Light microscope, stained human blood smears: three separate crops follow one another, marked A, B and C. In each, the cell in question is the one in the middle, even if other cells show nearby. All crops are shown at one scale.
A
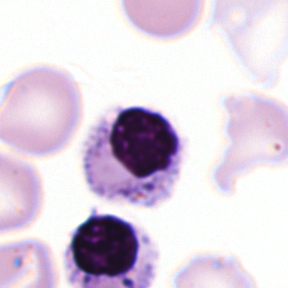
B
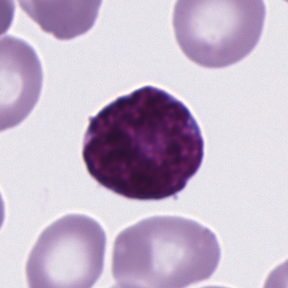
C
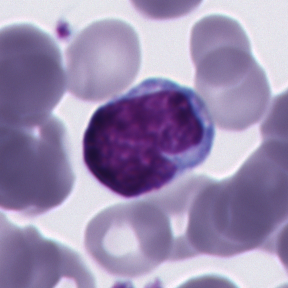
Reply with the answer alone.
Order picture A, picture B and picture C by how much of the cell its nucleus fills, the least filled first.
A, C, B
